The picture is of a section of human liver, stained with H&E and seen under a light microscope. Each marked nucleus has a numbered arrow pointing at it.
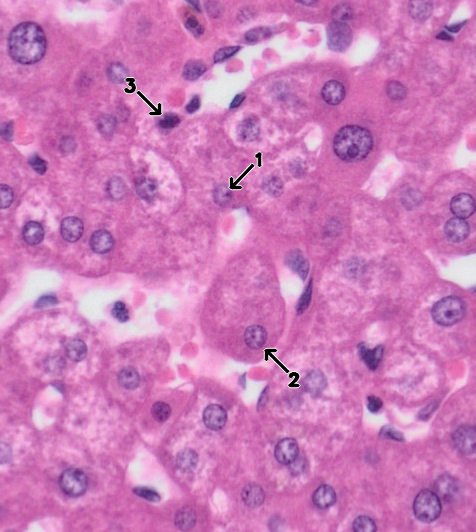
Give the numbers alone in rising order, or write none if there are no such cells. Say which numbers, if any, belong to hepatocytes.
1, 2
